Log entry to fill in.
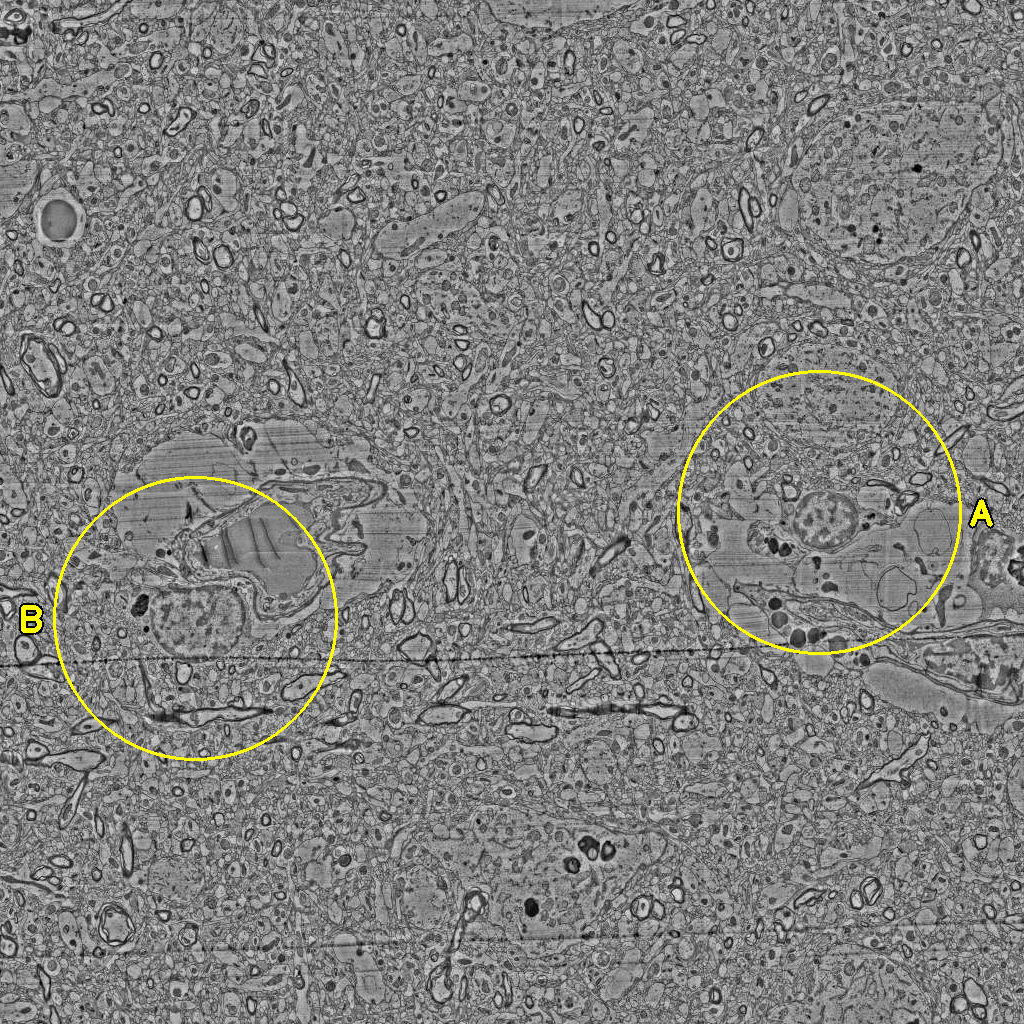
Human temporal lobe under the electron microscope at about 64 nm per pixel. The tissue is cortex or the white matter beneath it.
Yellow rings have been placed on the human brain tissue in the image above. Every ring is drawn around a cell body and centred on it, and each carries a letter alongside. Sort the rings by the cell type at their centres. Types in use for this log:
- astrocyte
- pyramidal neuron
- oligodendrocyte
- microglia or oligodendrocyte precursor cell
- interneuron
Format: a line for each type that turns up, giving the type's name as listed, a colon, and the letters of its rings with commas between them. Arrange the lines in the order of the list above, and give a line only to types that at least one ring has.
oligodendrocyte: A, B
